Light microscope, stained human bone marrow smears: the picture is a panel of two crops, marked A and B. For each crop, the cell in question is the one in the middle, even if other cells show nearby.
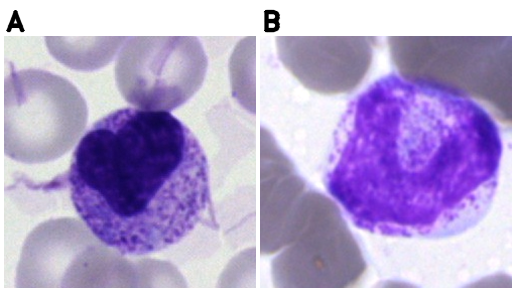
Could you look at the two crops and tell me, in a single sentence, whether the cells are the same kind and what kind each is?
No, what crop A shows is a metamyelocyte, and what crop B shows is a band neutrophil.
